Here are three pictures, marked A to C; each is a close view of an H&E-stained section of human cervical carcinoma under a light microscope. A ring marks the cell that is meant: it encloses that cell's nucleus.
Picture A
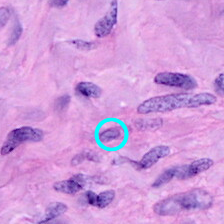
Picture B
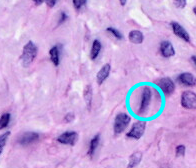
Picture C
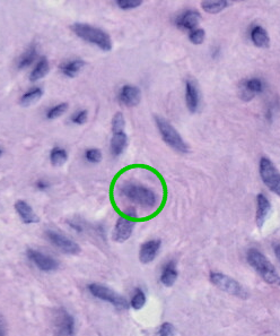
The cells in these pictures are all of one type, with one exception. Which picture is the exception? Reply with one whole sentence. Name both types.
Unlike the rest, which show fibroblasts, picture A shows a smooth muscle cell.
